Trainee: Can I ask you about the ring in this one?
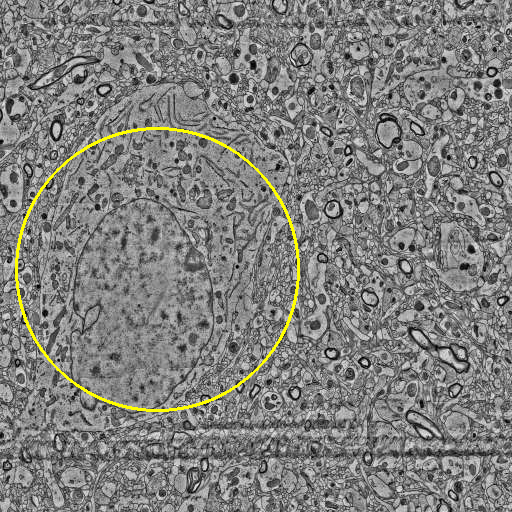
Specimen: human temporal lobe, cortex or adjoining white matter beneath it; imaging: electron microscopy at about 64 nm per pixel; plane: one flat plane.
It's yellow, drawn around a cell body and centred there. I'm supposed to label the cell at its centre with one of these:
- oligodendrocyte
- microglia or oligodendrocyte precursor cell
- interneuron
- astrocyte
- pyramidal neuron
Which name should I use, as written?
interneuron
